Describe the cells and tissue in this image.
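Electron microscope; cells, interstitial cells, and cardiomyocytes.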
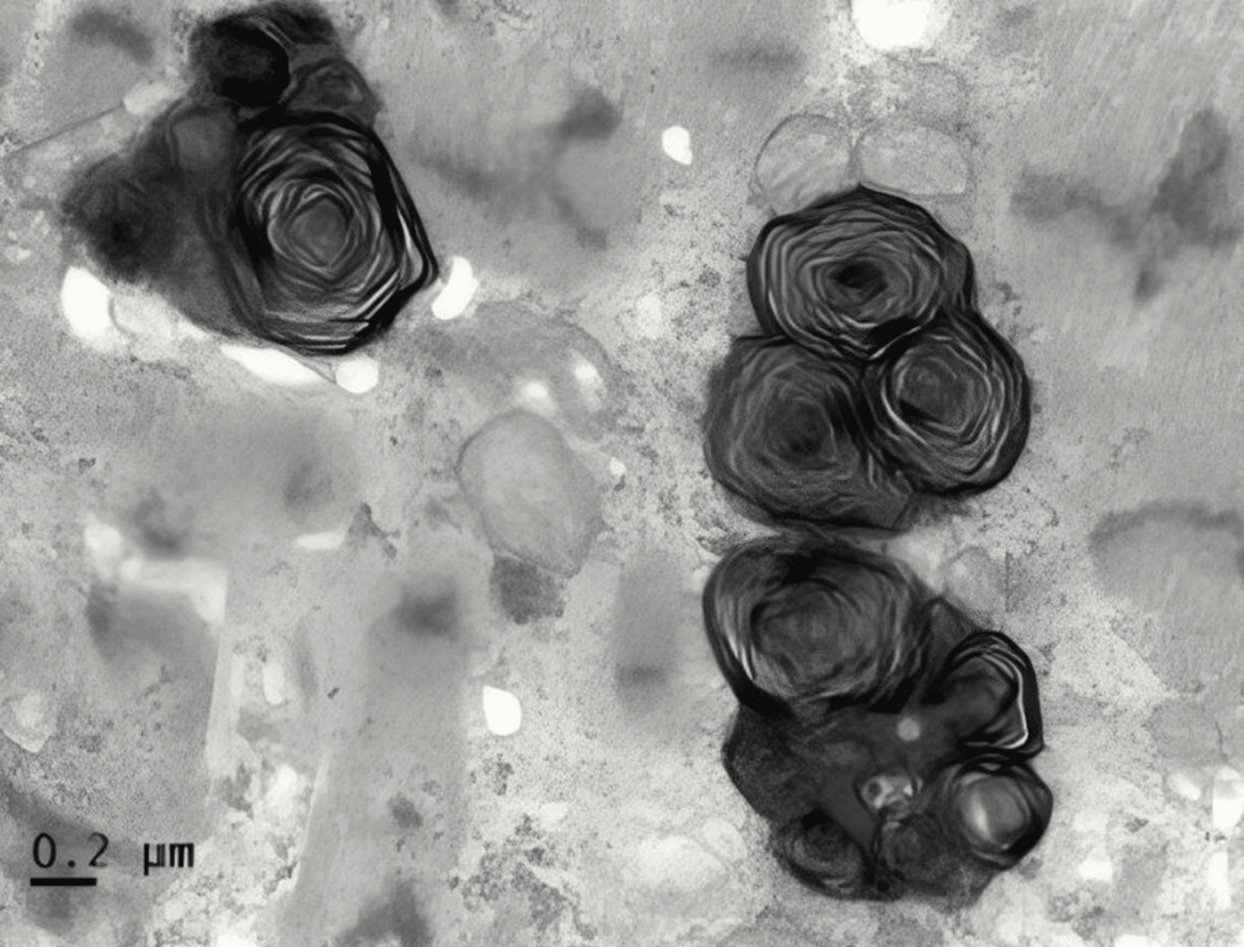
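Cytoplasm holding electron-dense inclusion bodies made of concentrically whorled, lamellated membranes. One inclusion stands alone at upper left, and a group of several touching inclusions lies at right. The membrane layers are tightly packed around darker centres, and some are slightly wavy or curved. Parts of the inclusions merge with looser dark amorphous material. A few pale, rounded vesicles lie next to the clustered inclusions.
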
